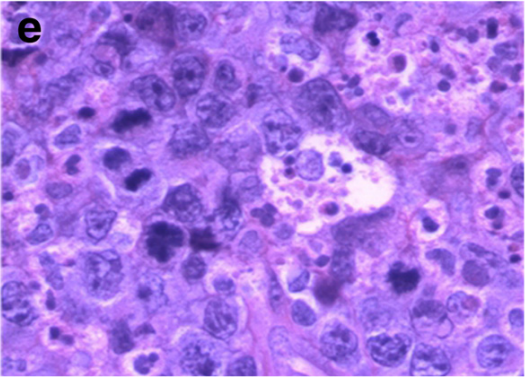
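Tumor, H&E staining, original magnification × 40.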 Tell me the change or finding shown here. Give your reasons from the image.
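Pathological mitosis. Several cells show dark, clumped, irregular chromatin without a nuclear outline. These dark chromatin masses lie among large tumor cells with ordinary nuclei.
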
